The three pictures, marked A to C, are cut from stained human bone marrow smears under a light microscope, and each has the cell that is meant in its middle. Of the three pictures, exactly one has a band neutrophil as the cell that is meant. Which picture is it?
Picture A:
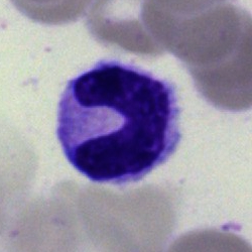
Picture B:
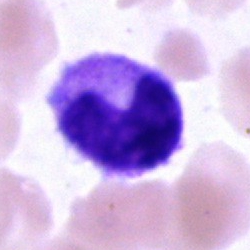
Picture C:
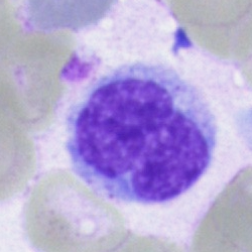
A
